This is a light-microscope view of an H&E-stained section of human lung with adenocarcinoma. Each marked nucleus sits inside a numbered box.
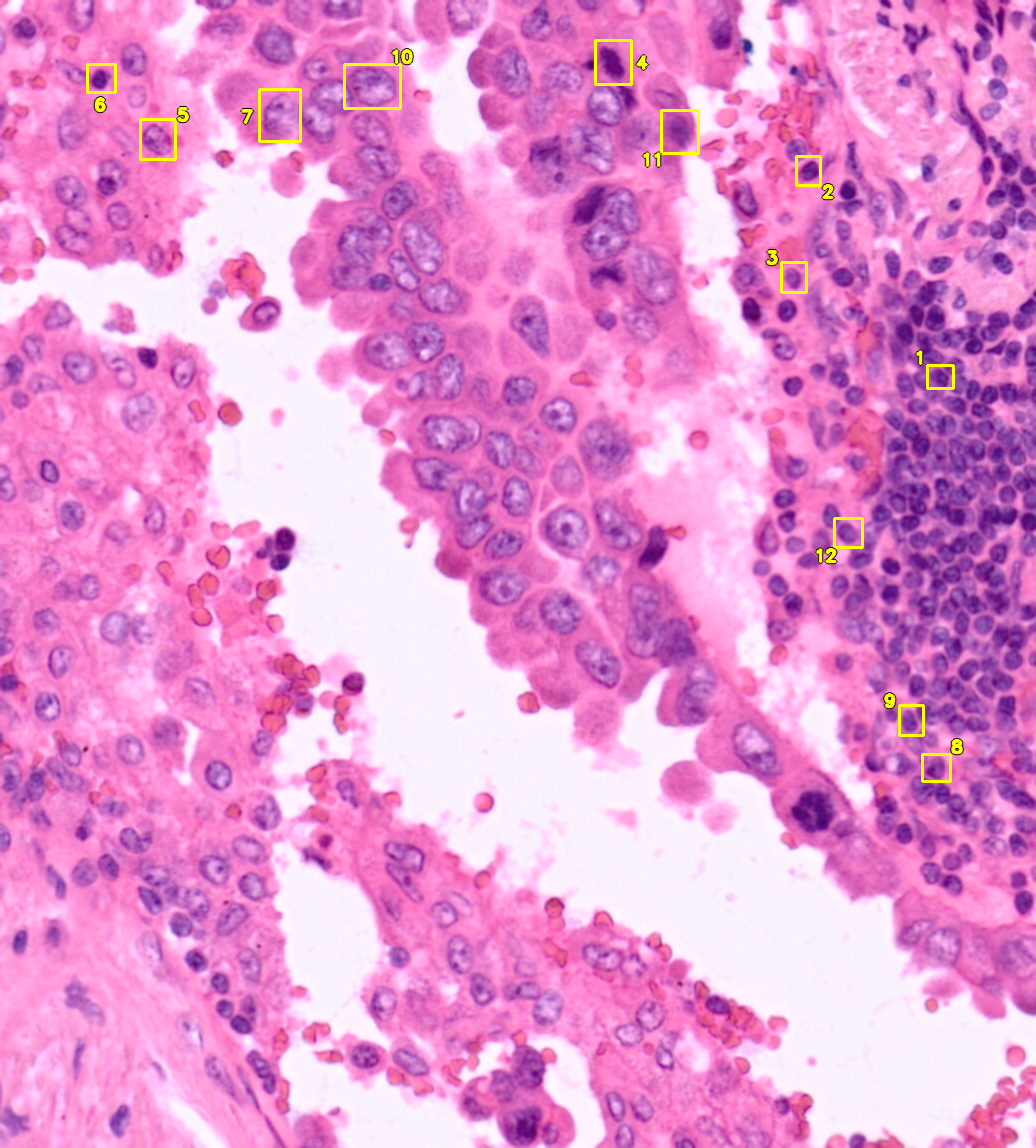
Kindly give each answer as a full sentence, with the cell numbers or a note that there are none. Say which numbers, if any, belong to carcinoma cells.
Classified as carcinoma cells are the cells numbered 4, 7, 10 and 11.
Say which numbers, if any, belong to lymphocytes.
The cells with the number labels 1, 2, 3, 6, 8, 9 and 12 are lymphocytes.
